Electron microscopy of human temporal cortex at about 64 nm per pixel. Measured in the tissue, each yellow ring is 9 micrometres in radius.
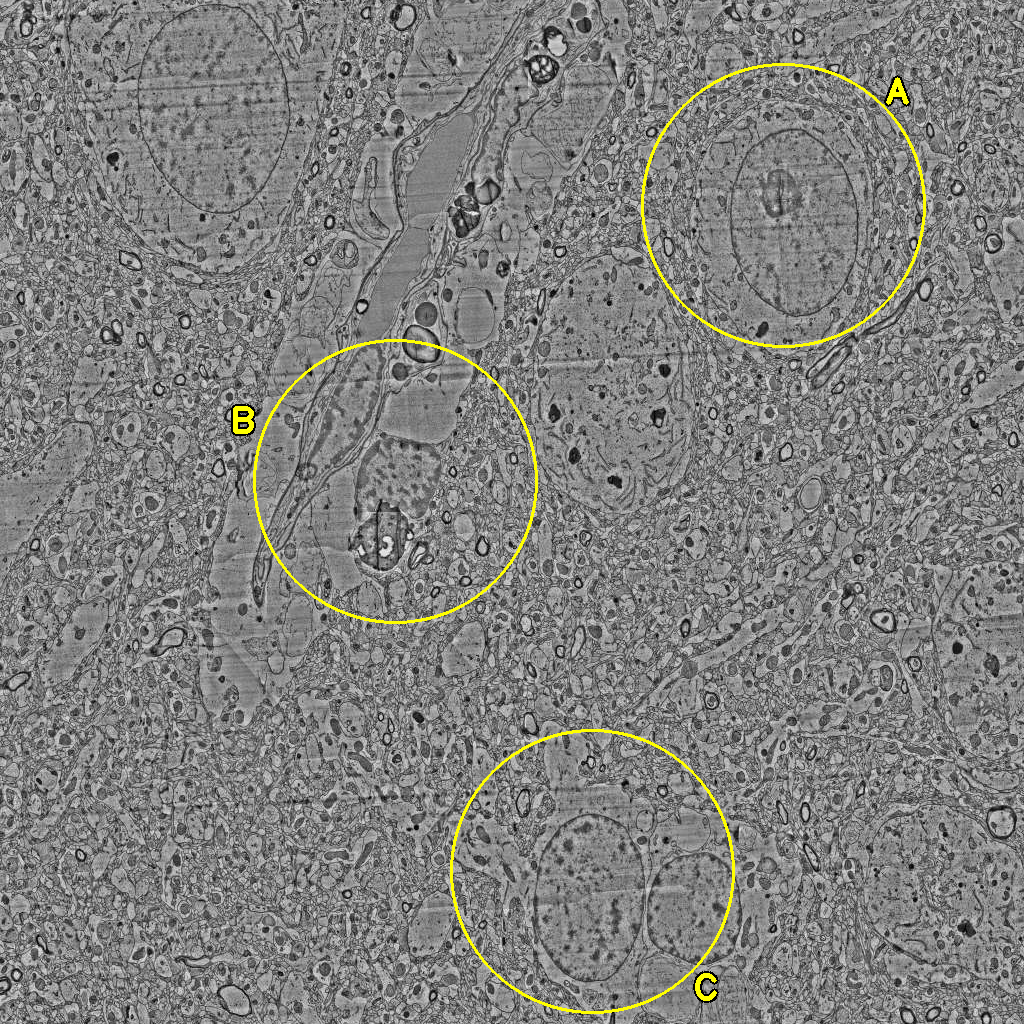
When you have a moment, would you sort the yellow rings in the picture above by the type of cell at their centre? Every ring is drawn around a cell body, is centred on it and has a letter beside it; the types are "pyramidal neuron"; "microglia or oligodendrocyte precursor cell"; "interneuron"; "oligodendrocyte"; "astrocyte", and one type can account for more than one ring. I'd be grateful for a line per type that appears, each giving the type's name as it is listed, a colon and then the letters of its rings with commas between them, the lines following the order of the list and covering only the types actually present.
pyramidal neuron: A
microglia or oligodendrocyte precursor cell: B
astrocyte: C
